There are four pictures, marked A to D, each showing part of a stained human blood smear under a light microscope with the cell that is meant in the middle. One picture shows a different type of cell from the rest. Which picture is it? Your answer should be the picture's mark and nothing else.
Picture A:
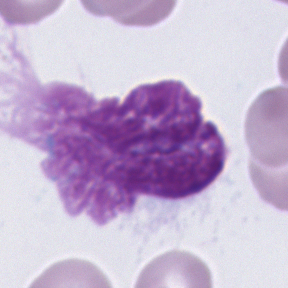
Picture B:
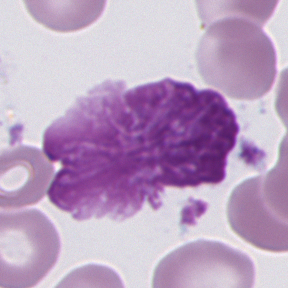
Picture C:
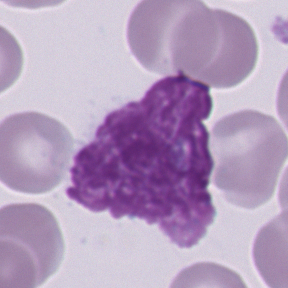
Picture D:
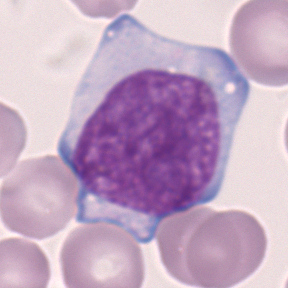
D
